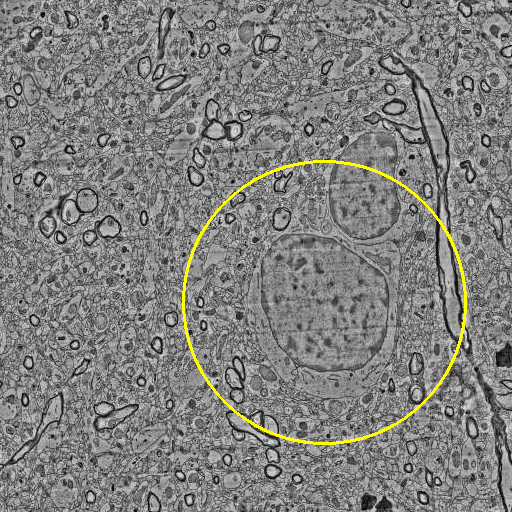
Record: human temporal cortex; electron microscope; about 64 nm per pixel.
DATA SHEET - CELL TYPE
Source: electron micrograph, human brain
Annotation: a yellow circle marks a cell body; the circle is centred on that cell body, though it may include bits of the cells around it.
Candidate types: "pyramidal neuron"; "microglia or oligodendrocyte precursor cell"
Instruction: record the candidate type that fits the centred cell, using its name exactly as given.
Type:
microglia or oligodendrocyte precursor cell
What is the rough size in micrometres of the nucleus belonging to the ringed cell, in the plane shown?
Approximately 10 micrometres long and 8 micrometres wide, in this plane.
